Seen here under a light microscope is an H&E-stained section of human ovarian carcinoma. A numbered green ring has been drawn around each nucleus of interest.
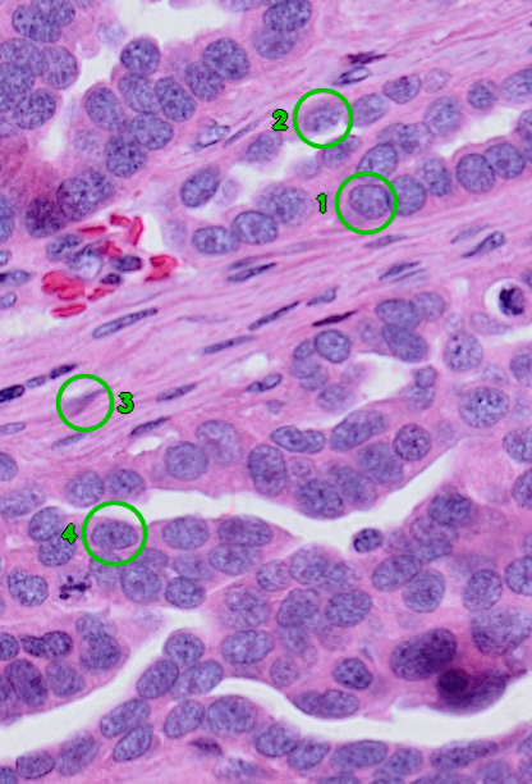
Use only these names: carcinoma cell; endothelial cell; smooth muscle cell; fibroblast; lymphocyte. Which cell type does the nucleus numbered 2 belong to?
carcinoma cell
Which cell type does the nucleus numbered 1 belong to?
carcinoma cell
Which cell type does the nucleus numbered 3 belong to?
fibroblast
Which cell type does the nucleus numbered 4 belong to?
carcinoma cell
